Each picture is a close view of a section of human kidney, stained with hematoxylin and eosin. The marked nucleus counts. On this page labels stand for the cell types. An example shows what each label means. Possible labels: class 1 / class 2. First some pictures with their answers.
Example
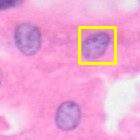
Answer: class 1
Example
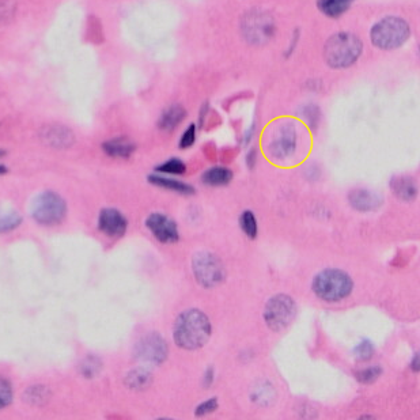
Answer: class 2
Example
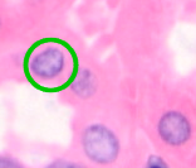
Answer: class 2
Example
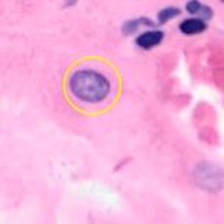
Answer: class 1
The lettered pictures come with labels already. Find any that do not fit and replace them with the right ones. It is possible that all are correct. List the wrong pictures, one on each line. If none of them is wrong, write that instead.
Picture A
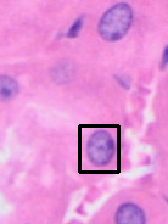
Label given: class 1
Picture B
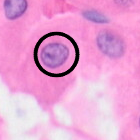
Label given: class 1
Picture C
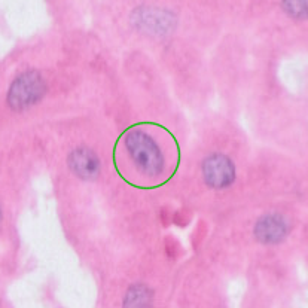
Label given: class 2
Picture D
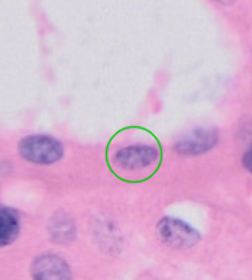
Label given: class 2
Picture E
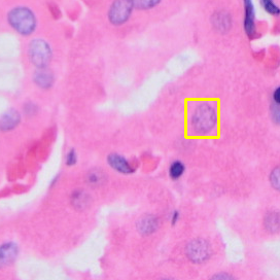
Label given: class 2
Wrong: C (class 2); correct: class 1
Wrong: E (class 2); correct: class 1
